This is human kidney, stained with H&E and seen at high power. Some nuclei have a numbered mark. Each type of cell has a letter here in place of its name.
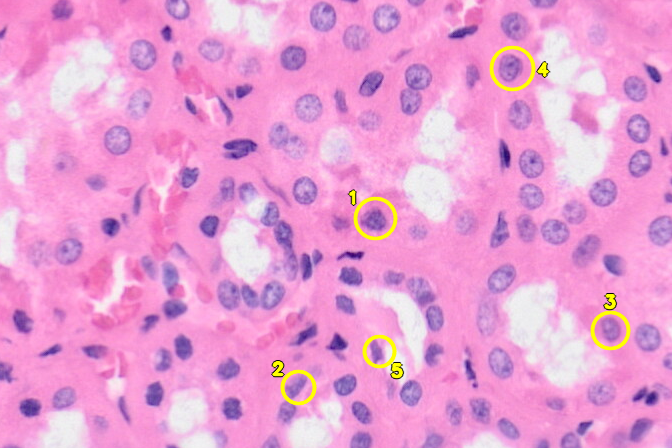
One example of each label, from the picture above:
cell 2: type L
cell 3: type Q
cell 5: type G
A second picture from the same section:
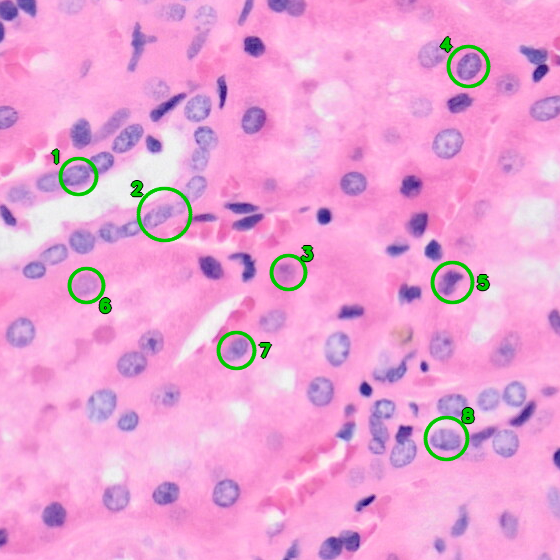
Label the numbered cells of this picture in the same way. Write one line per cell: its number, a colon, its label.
1: type L
2: type L
3: type Q
4: type Q
5: type Q
6: type Q
7: type Q
8: type L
